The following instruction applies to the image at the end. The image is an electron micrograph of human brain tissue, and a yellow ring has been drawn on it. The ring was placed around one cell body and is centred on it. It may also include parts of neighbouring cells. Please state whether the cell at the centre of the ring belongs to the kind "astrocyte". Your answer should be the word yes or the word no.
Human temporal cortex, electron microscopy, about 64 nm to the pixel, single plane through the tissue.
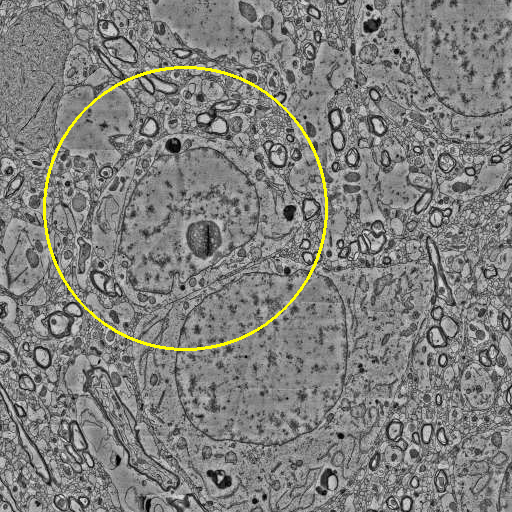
no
